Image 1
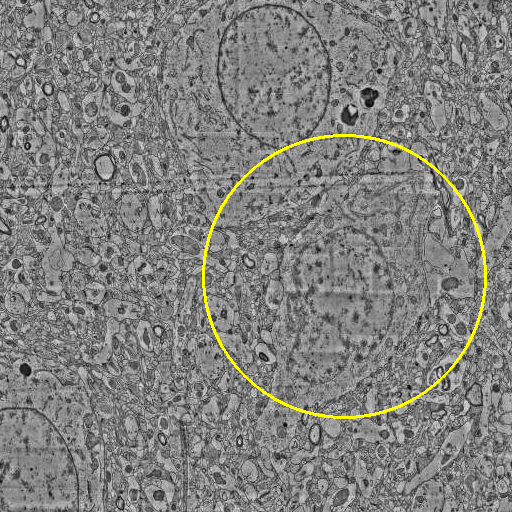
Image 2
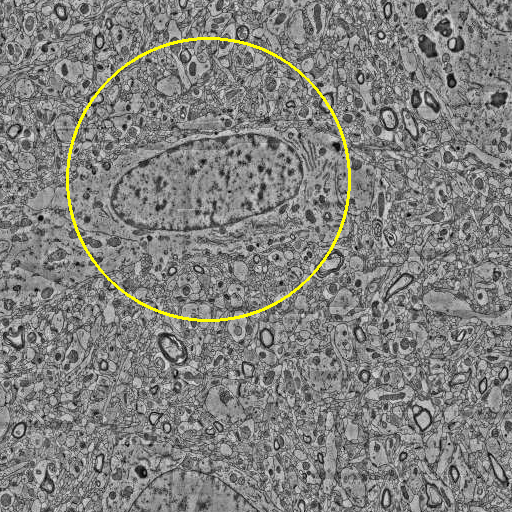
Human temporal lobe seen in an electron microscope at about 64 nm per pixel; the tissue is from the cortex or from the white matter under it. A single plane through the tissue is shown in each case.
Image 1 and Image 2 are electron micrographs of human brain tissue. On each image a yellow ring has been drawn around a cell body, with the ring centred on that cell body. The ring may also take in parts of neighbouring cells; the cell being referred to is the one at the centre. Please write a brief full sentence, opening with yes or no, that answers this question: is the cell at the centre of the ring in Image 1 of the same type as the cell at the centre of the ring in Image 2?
No, the two cells are of two types.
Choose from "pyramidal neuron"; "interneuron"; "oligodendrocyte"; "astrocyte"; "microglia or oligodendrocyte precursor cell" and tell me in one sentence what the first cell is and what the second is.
What the first ring is centred on is an interneuron; what the second ring is centred on is a microglial cell or oligodendrocyte precursor cell.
